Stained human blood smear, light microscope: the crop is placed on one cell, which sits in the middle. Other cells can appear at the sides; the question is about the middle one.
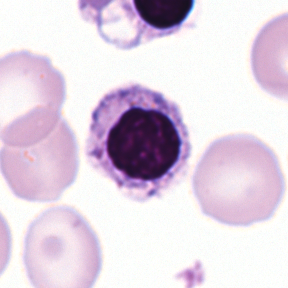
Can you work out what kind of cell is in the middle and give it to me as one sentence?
The middle position in this crop is taken by a normoblast.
